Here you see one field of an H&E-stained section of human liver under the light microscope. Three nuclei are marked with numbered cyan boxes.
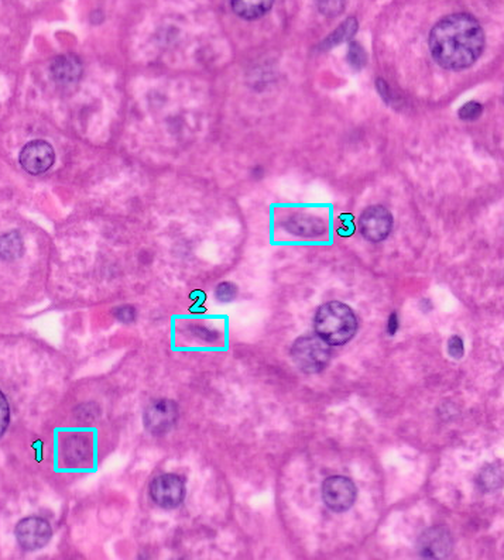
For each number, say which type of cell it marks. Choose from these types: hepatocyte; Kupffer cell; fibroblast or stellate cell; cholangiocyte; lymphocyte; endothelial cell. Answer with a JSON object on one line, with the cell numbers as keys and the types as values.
{"1": "hepatocyte", "2": "endothelial cell", "3": "Kupffer cell"}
